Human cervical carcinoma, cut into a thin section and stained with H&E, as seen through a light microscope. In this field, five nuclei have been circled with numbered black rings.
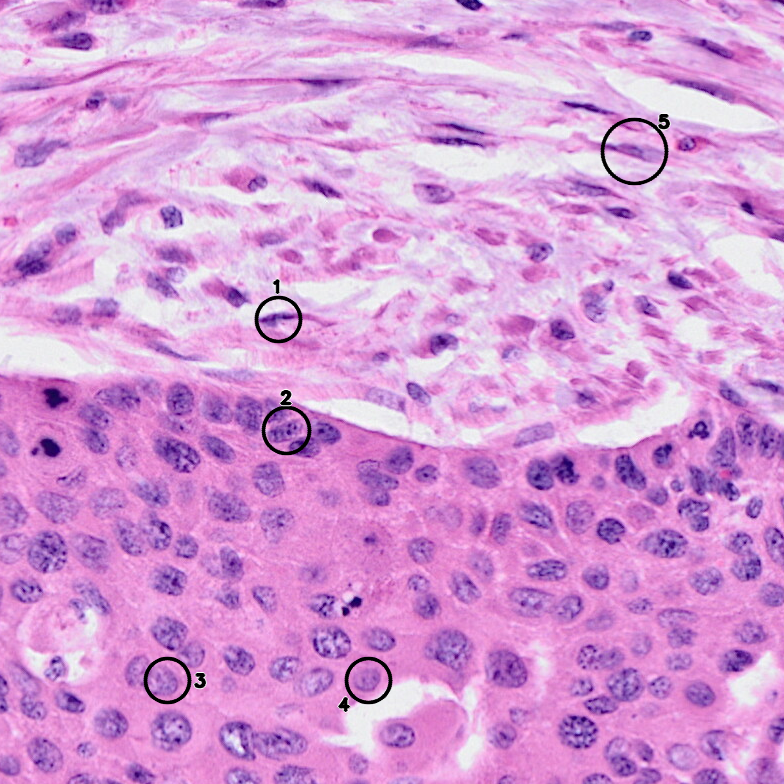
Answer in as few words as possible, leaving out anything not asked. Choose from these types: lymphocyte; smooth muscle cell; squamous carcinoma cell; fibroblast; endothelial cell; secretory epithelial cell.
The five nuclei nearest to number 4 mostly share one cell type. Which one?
squamous carcinoma cell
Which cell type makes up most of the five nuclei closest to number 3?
squamous carcinoma cell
